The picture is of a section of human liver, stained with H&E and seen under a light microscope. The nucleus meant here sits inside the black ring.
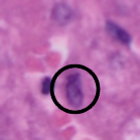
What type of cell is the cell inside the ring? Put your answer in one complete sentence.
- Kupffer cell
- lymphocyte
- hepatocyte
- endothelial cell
By its classification, the cell inside the ring is a Kupffer cell.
